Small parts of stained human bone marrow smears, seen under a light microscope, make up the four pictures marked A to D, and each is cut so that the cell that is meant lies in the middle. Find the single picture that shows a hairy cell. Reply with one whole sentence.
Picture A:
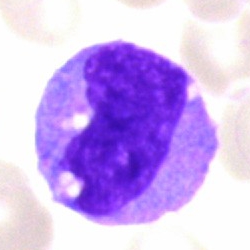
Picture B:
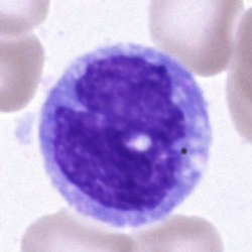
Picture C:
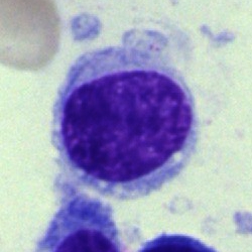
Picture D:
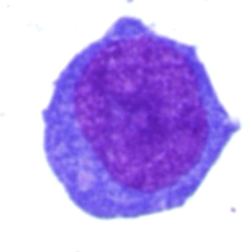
The hairy cell is the one in picture C.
